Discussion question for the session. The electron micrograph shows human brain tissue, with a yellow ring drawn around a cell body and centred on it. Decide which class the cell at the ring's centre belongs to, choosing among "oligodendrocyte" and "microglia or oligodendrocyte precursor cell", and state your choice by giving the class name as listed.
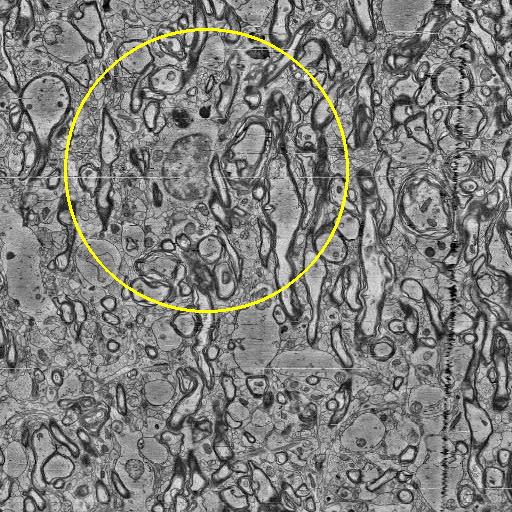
oligodendrocyte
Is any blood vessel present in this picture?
No, there is no blood vessel in the image.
